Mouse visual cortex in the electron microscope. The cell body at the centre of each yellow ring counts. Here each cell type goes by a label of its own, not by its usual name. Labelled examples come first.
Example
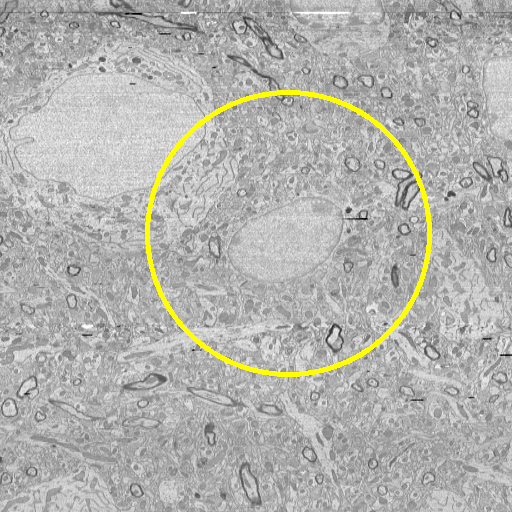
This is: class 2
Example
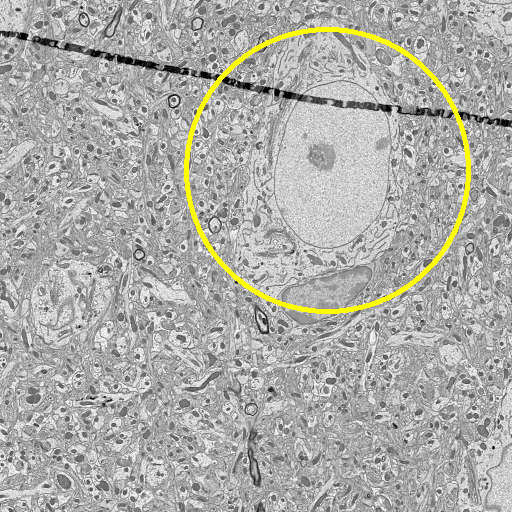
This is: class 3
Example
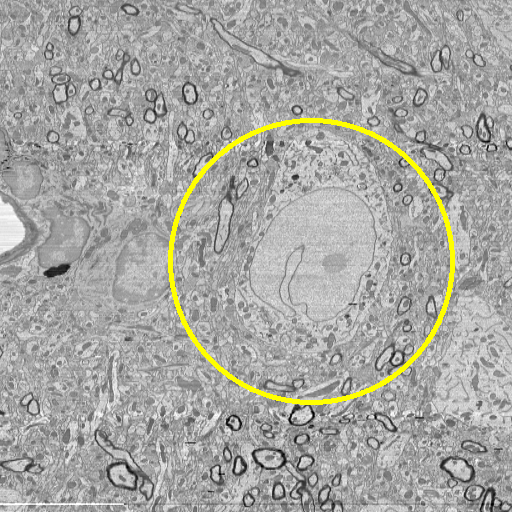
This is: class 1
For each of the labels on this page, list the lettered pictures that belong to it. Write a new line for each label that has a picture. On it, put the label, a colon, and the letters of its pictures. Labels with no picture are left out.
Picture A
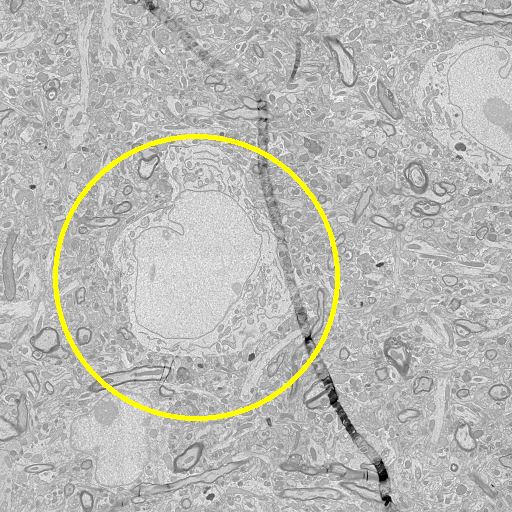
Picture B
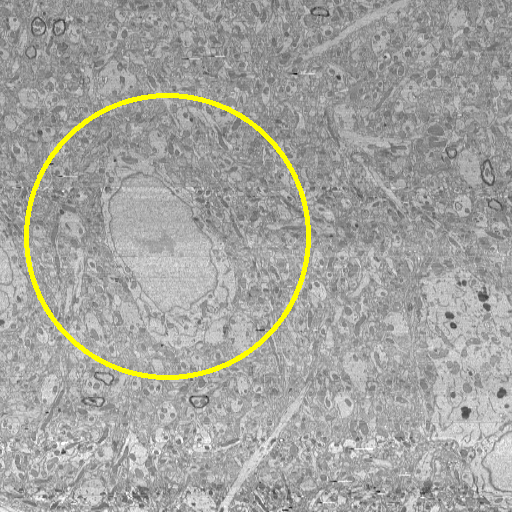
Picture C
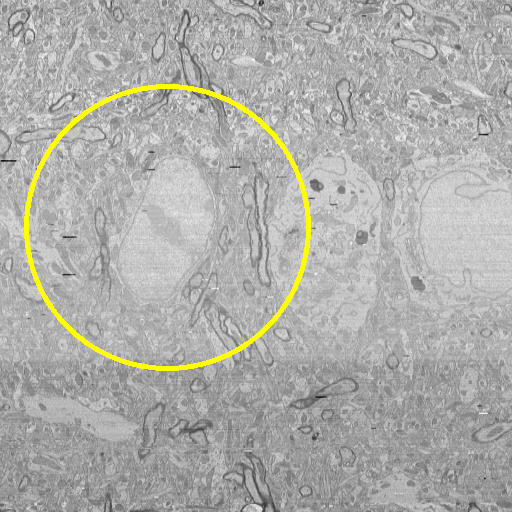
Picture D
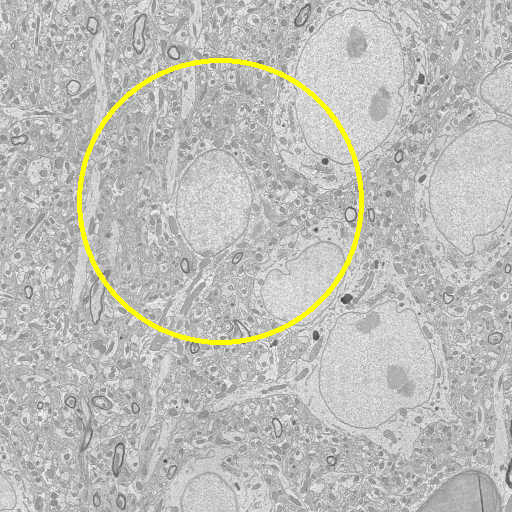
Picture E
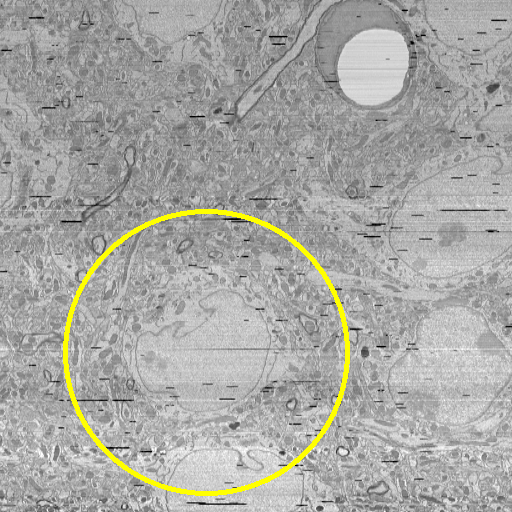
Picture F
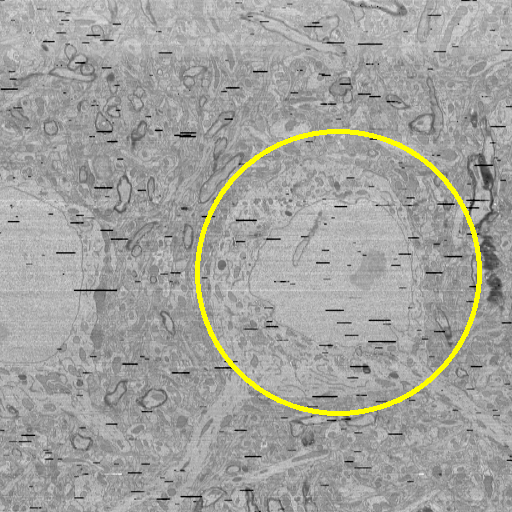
class 2: C, D
class 3: E, F
class 1: A, B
